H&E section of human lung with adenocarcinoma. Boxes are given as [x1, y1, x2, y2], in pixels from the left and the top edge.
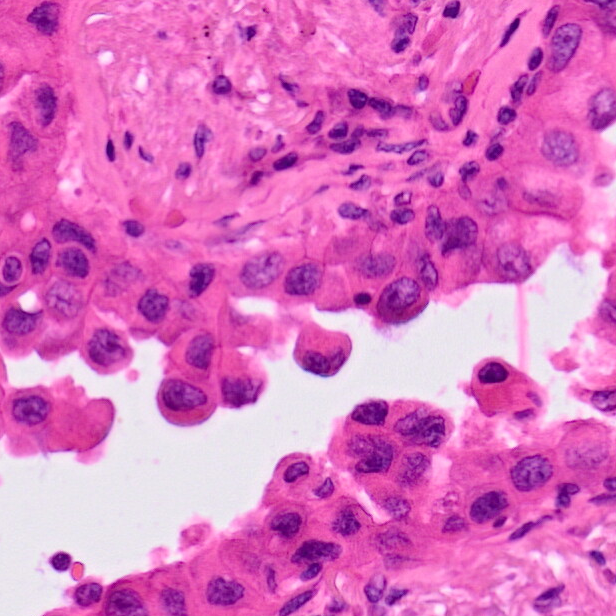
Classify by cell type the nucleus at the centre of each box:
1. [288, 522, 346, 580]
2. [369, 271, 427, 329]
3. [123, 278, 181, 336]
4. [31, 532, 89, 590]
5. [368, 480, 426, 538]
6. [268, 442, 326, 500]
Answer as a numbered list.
1. carcinoma cell
2. carcinoma cell
3. carcinoma cell
4. lymphocyte
5. carcinoma cell
6. macrophage or monocyte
